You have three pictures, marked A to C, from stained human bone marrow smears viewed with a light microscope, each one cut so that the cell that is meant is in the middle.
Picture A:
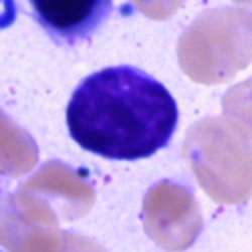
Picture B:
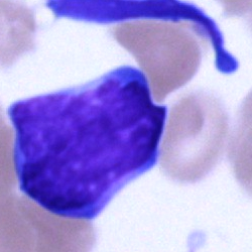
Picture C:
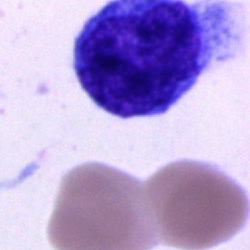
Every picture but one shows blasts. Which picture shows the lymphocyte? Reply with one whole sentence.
Picture A is the one that shows the lymphocyte.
